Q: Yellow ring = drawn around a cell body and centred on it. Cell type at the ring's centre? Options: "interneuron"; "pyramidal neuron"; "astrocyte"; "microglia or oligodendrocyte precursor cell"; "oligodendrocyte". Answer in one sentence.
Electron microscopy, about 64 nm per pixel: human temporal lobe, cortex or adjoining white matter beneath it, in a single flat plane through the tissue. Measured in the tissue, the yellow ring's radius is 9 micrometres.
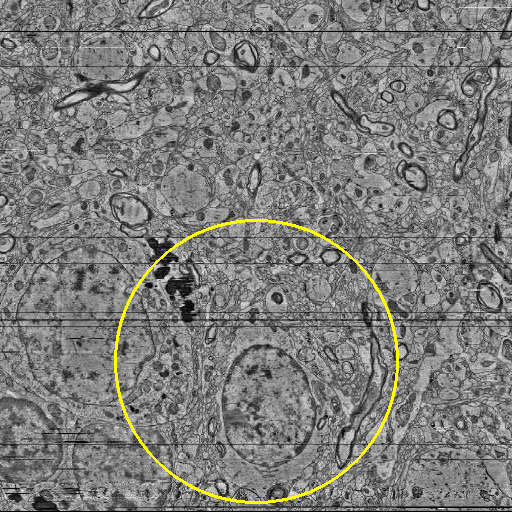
Centred in the ring is a microglial cell or oligodendrocyte precursor cell.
